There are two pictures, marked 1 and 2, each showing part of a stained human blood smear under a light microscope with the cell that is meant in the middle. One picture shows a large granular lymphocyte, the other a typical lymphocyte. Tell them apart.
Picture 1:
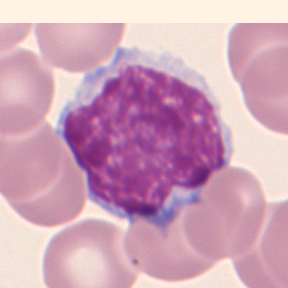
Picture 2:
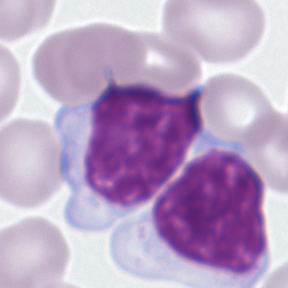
1: typical lymphocyte
2: large granular lymphocyte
